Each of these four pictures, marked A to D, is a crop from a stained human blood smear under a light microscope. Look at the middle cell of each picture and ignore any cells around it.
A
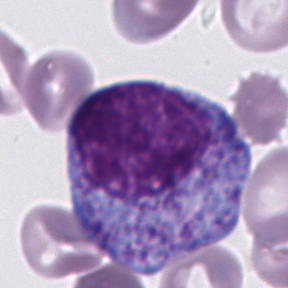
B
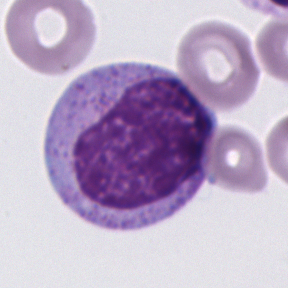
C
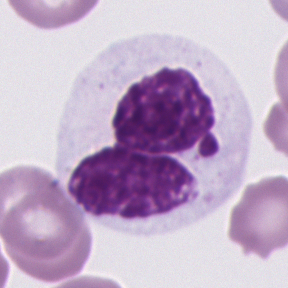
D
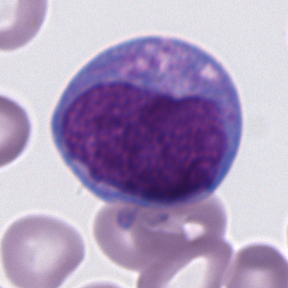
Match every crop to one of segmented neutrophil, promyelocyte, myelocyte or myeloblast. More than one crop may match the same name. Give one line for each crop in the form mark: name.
A: myelocyte
B: myelocyte
C: segmented neutrophil
D: promyelocyte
